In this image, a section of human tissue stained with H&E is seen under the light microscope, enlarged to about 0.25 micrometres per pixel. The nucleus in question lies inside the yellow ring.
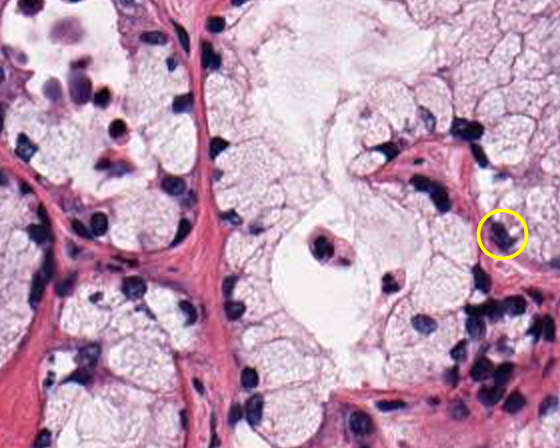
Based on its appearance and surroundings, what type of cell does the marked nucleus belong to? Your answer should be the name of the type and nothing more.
mucous gland cell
